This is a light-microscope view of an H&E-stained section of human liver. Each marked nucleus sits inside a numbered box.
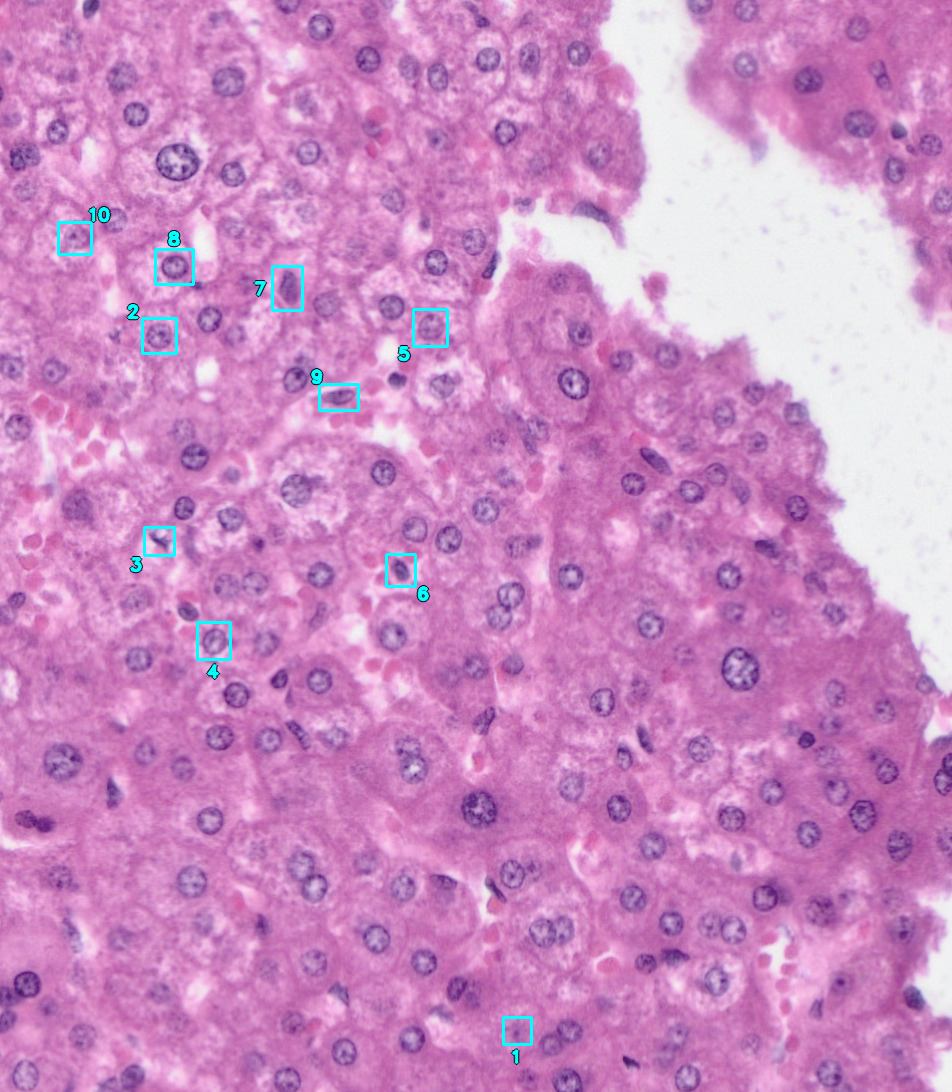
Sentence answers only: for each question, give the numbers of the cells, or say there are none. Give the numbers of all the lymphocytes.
Cell number 6 alone is a lymphocyte; the rest are not.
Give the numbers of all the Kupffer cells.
Within the section, cells numbered 7 and 9 are Kupffer cells.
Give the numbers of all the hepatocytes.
The cells carrying the numbers 1, 2, 4, 5, 8 and 10 are hepatocytes.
